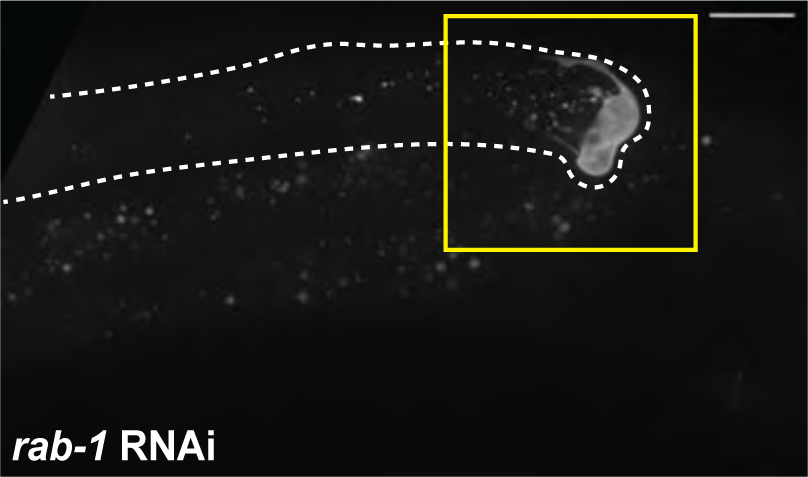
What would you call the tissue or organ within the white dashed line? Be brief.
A: gonads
